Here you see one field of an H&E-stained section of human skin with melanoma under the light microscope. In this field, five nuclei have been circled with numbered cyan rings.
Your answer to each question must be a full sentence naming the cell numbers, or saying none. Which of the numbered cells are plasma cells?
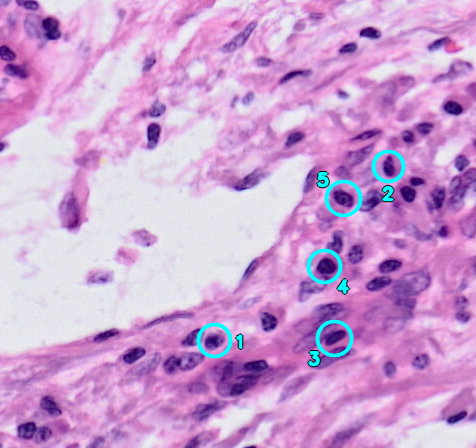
The cells numbered 2, 4 and 5 fall into the category of plasma cells.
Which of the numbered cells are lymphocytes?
Cell 1 alone, of all the numbered cells, is a lymphocyte.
